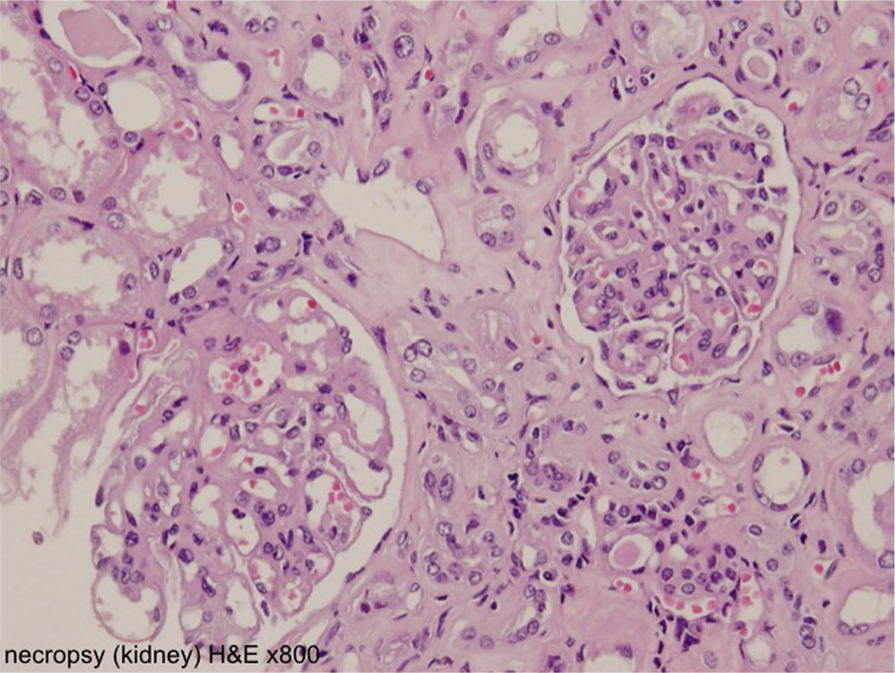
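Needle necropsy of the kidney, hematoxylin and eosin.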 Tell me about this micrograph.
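This is renal cortex with two glomeruli, one at the upper right and one at the lower left, set among cross-sectioned tubules and a little interstitium. Each glomerulus is a rounded tuft of capillary loops, several holding red blood cells, separated by a clear space from a thin pink capsule. Within the tufts the pink material between the loops looks broadened, and dark nuclei are crowded in parts of the tuft, narrowing some capillary lumina. The surrounding tubules are lined by cuboidal cells with pink cytoplasm and round nuclei, and some are dilated with flattened lining and pale pink contents in their lumina. These glomerular changes fit mesangial matrix expansion with segmental mesangial hypercellularity.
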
